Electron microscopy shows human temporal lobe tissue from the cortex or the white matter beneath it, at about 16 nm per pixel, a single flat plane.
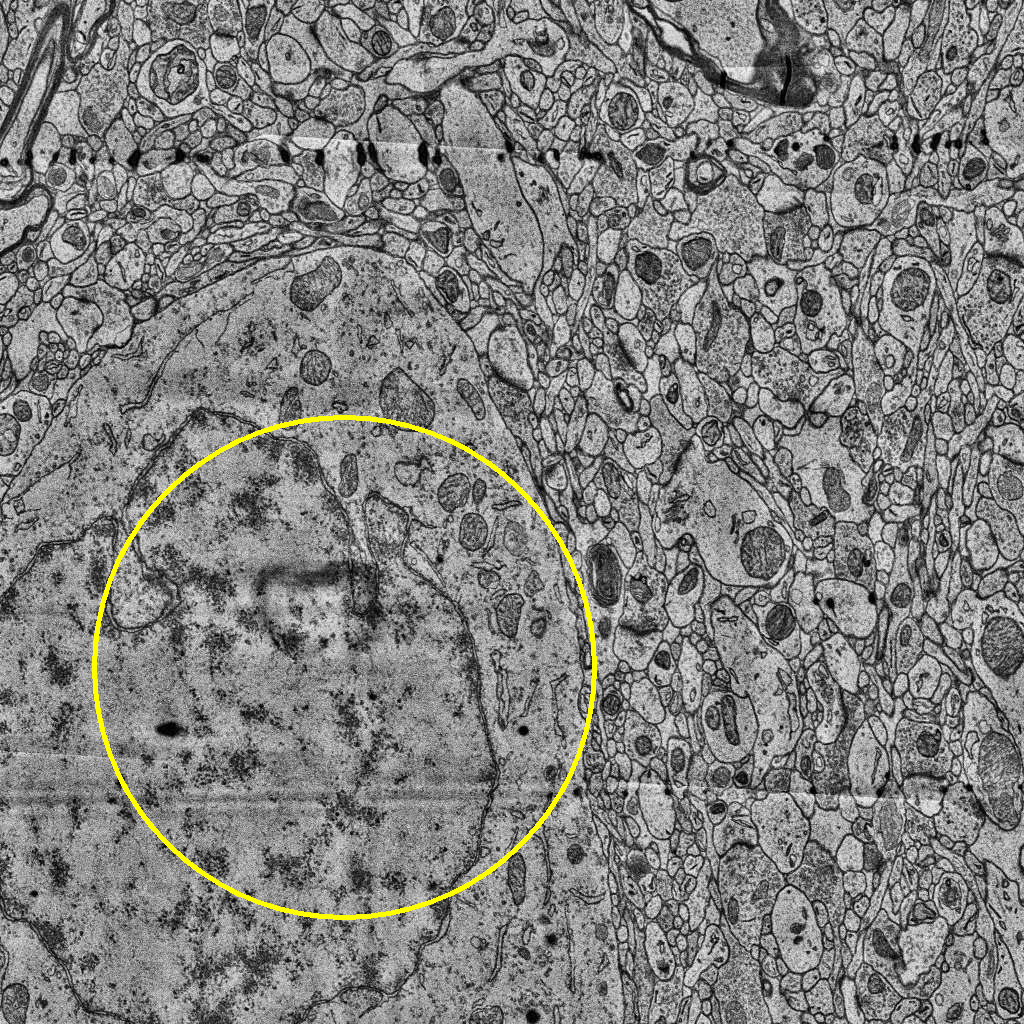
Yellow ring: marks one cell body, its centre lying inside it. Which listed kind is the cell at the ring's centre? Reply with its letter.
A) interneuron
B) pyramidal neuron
A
